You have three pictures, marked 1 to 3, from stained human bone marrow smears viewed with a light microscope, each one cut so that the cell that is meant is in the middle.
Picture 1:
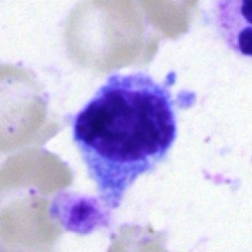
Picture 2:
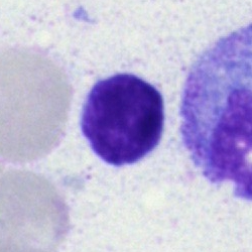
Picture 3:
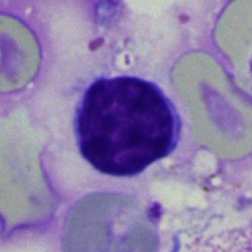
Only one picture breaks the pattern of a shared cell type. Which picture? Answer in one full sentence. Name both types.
Picture 1 is the odd one out: it shows a monocyte, while the others show lymphocytes.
